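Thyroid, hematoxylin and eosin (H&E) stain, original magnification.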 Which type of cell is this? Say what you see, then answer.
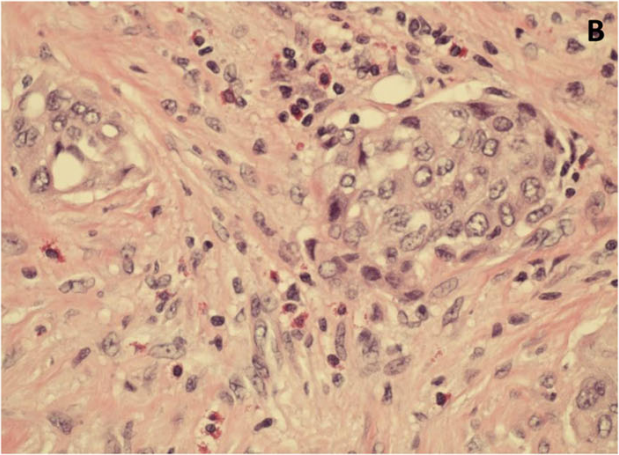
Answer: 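Many small cells with bright red-orange granular cytoplasm are scattered through the stroma. These cells have small dark, lobed nuclei.
Conclusion: eosinophils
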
